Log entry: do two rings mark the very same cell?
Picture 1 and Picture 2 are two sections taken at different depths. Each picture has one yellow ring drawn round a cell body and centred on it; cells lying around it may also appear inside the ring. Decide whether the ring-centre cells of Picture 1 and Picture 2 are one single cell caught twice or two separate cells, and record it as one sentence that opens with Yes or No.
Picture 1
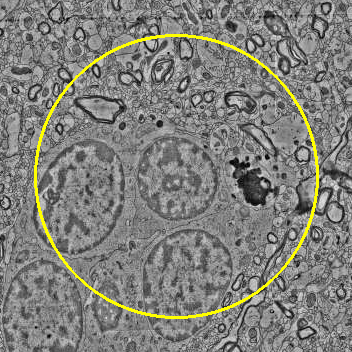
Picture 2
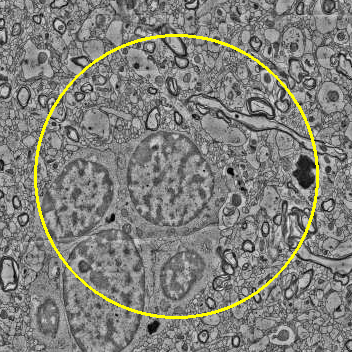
Yes, both marked profiles belong to the very same cell.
